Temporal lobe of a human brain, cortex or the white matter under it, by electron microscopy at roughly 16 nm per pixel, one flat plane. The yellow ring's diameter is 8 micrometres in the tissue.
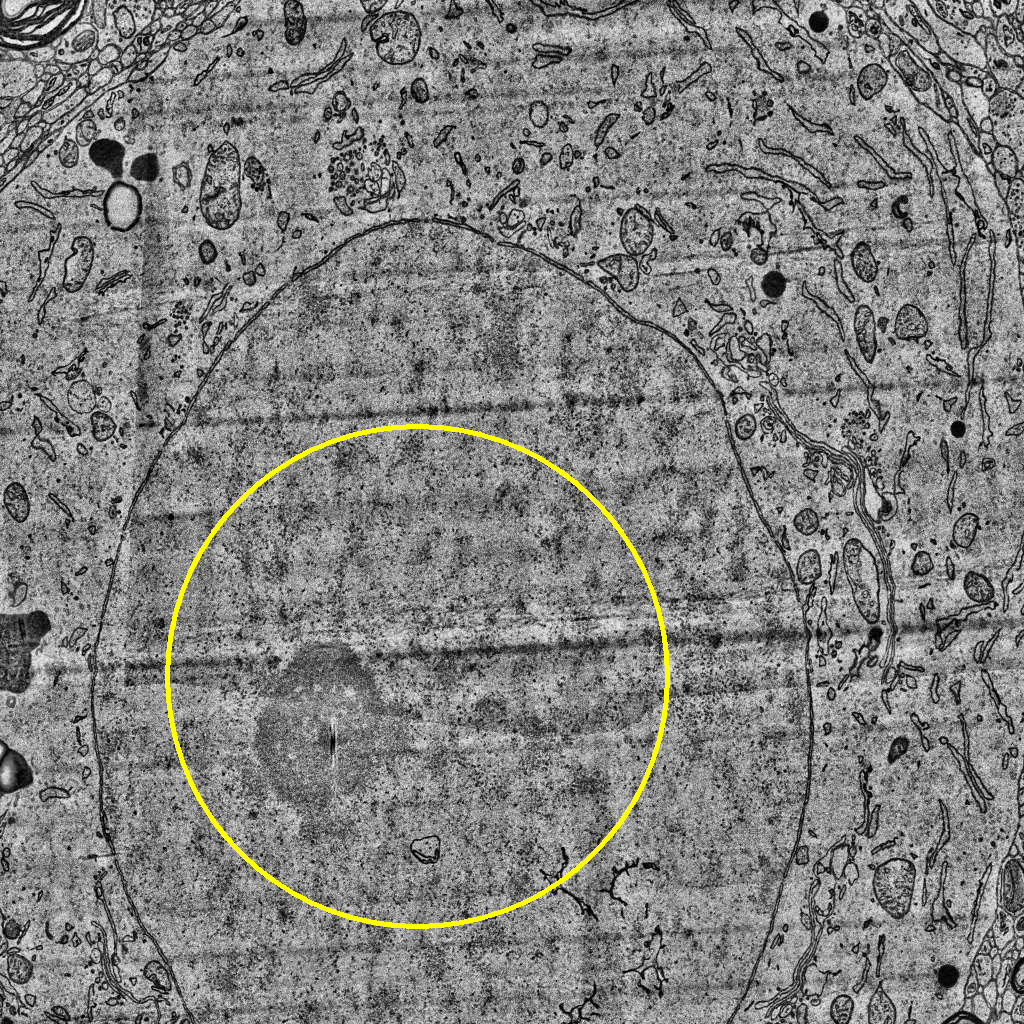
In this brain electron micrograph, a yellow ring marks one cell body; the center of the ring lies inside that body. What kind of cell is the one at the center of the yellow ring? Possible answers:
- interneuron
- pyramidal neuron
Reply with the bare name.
pyramidal neuron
